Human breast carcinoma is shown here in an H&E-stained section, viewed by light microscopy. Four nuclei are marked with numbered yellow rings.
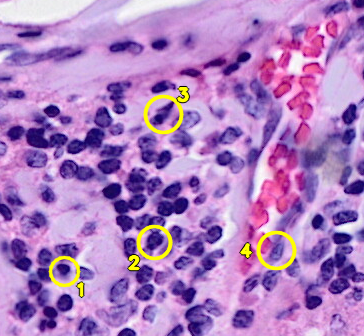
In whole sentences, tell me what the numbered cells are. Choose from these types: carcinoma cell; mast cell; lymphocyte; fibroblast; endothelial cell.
Cells 1, 2 and 3 are lymphocytes. Cell 4 is an endothelial cell.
